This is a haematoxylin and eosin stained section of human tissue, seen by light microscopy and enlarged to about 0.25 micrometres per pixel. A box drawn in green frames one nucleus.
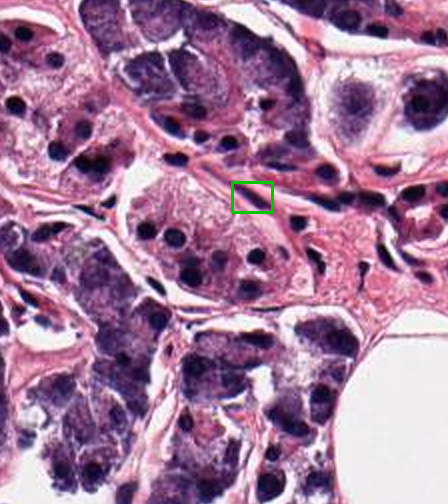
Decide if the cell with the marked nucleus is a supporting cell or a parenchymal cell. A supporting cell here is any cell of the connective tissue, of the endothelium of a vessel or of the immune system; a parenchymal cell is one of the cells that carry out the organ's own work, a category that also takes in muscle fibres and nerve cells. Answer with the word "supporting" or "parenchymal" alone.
supporting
